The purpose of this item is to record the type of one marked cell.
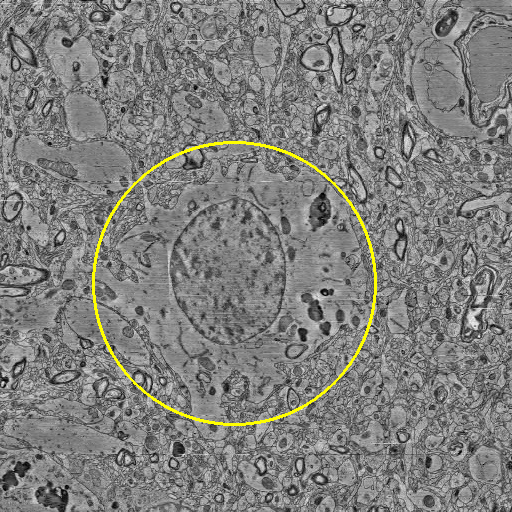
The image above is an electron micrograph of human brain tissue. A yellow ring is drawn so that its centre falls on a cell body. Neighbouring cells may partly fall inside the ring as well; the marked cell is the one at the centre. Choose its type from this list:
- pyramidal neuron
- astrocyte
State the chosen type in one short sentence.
What the ring marks here is an astrocyte.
